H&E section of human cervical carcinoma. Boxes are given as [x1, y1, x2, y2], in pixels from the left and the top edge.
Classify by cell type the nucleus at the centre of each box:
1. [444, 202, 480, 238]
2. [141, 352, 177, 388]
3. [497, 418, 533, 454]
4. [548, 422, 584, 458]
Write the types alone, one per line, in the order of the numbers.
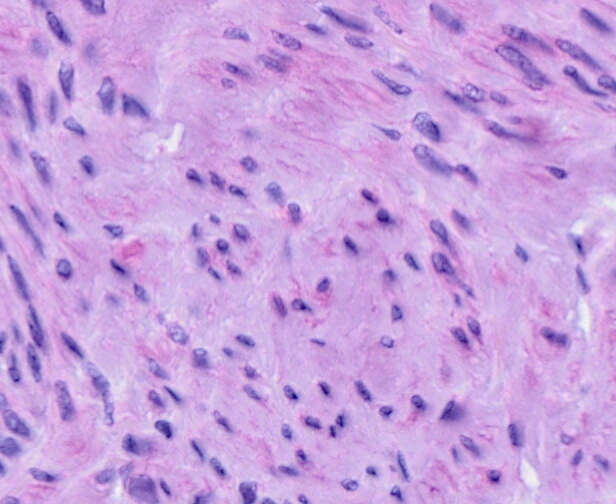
smooth muscle cell
smooth muscle cell
fibroblast
smooth muscle cell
